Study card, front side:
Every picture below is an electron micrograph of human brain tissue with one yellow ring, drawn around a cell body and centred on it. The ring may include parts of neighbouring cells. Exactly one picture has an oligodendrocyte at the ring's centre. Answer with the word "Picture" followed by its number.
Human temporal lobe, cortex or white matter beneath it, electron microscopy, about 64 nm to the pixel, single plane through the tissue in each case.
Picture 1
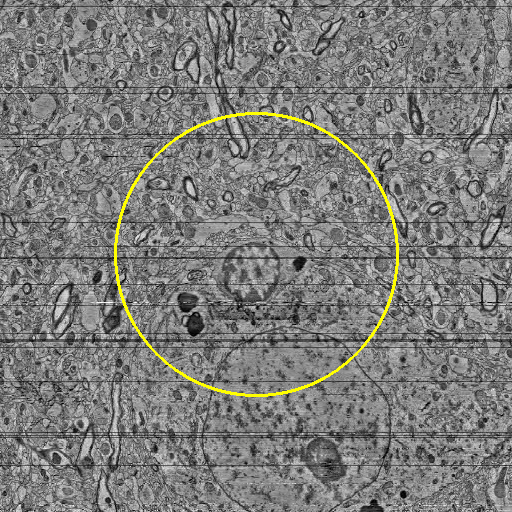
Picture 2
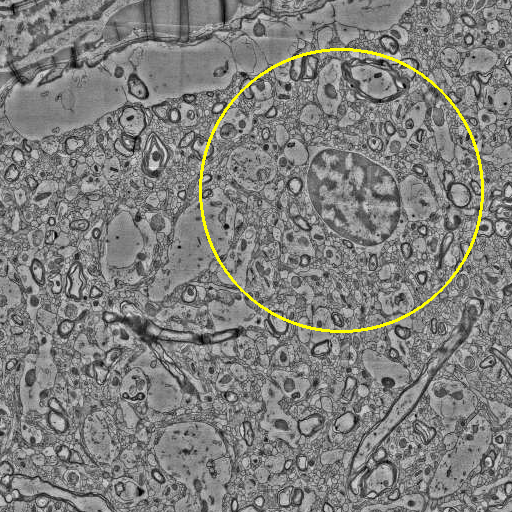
Picture 1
